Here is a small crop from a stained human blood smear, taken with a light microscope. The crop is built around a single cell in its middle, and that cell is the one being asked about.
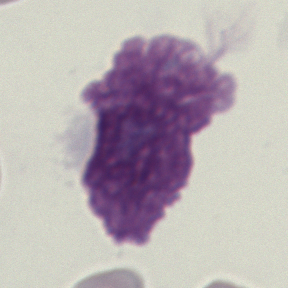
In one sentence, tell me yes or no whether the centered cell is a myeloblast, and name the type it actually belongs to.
No, the cell found centrally in the crop is a smudge cell, not a myeloblast.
